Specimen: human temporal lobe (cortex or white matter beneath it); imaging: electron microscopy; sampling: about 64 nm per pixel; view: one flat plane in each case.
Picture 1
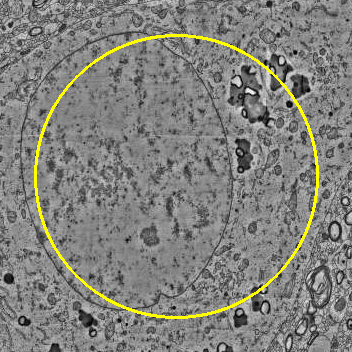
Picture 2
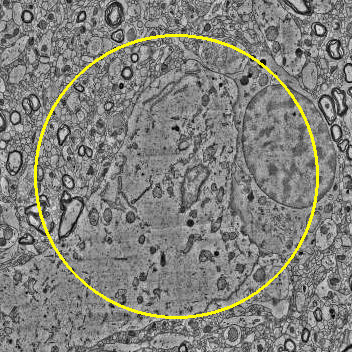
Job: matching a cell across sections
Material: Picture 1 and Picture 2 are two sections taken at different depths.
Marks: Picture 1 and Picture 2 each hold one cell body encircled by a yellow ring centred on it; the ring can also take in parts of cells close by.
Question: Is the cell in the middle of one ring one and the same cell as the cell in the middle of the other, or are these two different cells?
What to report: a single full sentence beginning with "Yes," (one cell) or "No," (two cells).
No, the two rings outline two separate cells in this micrograph.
